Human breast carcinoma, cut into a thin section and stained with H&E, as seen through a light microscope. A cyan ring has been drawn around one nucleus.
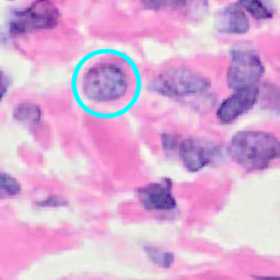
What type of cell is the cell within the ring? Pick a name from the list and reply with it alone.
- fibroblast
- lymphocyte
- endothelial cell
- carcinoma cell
carcinoma cell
